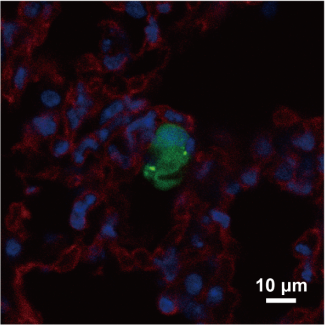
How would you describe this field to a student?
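Thin alveolar walls are lined by red-outlined cells with small, elongated blue nuclei, leaving dark air spaces between them. Near the centre lies one larger, rounded cell filled with bright green cytoplasm, clearly bigger than the surrounding lung cells. It sits within the wall tissue rather than free in an air space.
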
